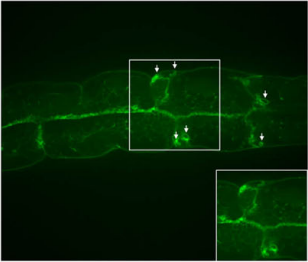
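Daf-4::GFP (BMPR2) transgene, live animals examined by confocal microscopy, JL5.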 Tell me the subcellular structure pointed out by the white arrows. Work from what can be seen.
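The arrows point to small bright green clumps. The clumps sit at or next to the green lines that outline the cells. On this evidence: vesicles.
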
